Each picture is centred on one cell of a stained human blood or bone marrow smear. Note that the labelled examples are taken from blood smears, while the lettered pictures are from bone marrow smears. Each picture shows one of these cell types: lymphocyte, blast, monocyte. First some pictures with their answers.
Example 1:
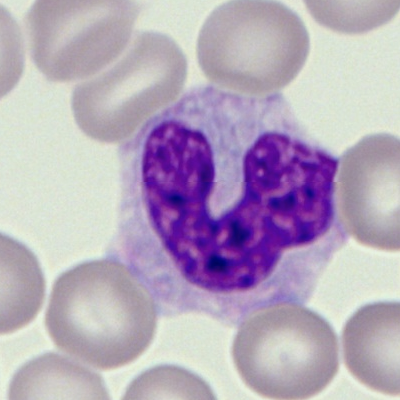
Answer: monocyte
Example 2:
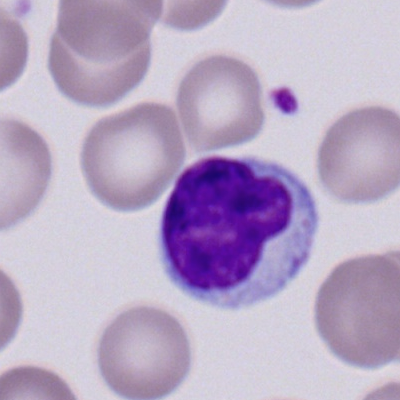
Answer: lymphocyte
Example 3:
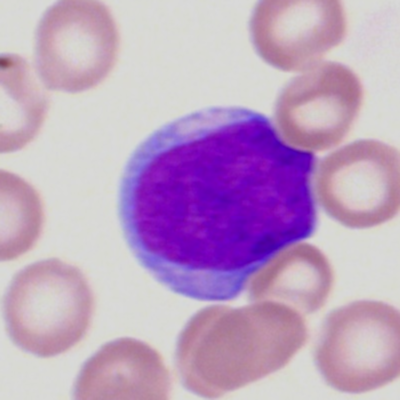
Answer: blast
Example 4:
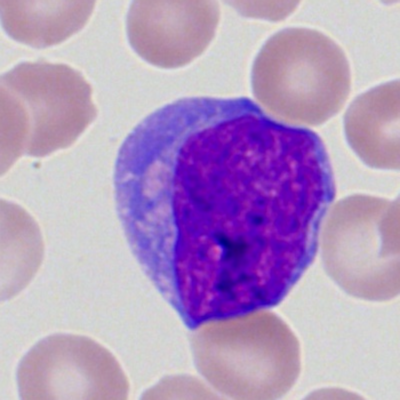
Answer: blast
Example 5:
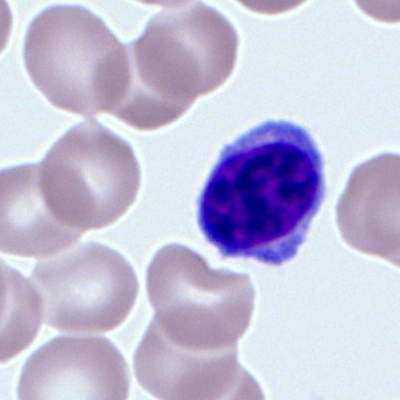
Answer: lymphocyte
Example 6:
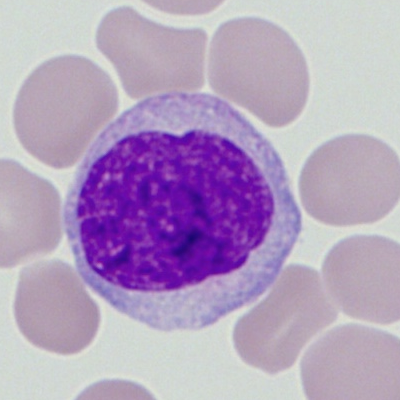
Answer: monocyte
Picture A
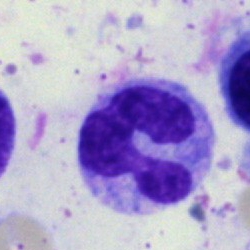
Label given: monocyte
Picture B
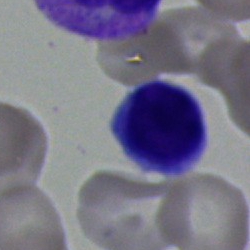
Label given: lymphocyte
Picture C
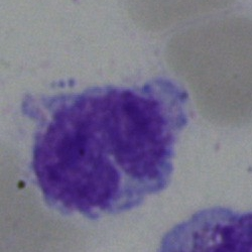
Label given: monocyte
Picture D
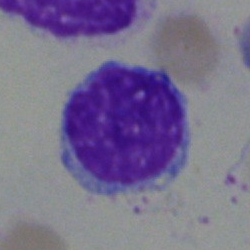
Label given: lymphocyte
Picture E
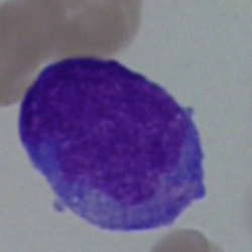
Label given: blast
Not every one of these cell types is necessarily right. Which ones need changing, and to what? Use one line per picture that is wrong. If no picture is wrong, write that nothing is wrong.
None of the labels needs changing.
